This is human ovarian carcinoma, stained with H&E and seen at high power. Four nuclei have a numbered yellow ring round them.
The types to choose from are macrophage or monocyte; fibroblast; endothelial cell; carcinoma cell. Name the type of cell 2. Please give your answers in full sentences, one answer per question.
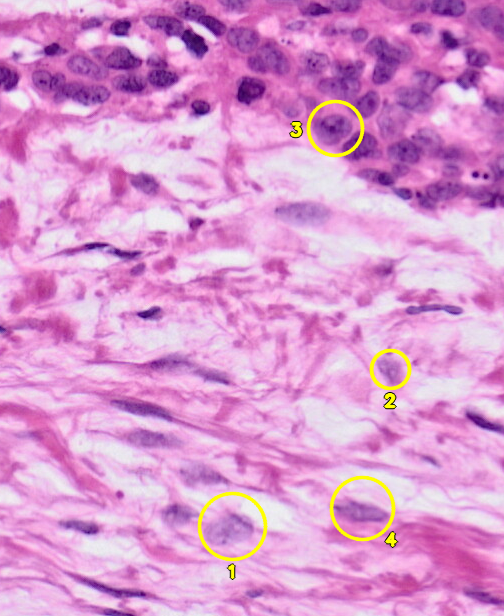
Here, the cell given the number 2 is a fibroblast.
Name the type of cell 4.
Cell 4 should be recorded as a fibroblast.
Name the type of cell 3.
The cell that carries the label 3 is a carcinoma cell.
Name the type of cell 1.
Here the cell numbered 1 is a fibroblast.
